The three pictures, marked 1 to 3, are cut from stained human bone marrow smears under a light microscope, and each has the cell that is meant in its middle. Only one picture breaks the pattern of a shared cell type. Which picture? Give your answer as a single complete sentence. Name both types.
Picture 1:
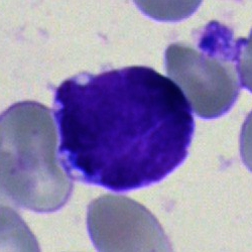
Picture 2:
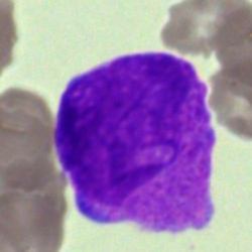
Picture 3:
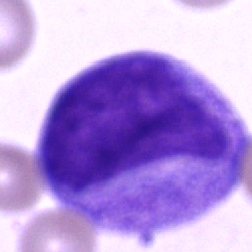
Picture 3 differs, because its cell is a promyelocyte and the rest are blasts.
